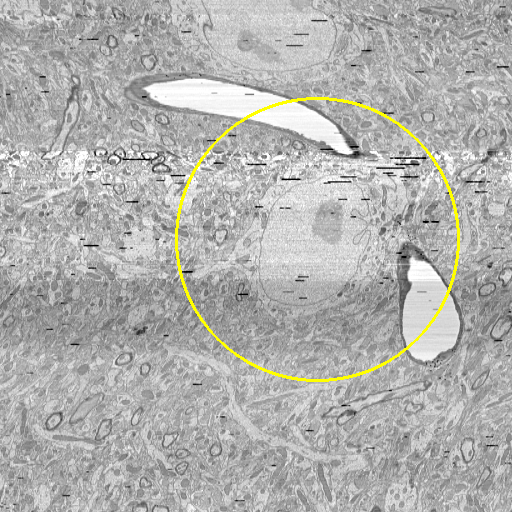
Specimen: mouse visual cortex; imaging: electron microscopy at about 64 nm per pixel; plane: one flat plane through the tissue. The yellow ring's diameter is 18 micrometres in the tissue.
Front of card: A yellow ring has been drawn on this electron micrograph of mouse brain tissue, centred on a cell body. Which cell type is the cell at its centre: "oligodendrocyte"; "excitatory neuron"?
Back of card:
excitatory neuron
